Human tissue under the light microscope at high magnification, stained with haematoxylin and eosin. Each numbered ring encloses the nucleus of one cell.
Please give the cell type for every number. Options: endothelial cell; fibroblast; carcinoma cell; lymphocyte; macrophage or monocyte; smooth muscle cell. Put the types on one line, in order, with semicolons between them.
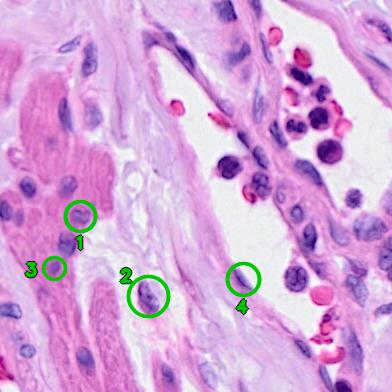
smooth muscle cell; fibroblast; smooth muscle cell; endothelial cell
